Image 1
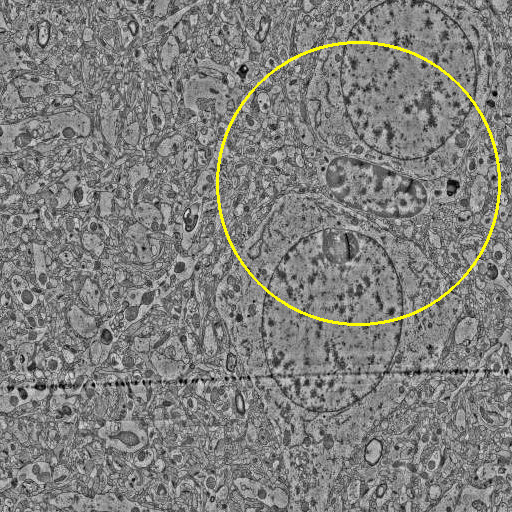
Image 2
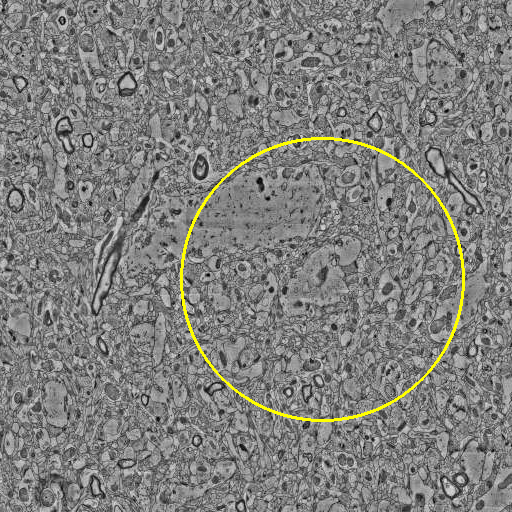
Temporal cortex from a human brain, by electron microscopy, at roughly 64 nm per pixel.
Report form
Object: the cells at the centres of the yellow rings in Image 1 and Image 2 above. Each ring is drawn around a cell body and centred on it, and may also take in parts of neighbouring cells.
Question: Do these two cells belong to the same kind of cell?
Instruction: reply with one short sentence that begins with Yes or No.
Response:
Yes, both belong to the same kind of cell.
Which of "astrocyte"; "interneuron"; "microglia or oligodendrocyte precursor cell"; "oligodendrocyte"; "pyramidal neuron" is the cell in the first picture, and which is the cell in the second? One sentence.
Both the first and the second picture show a microglial cell or oligodendrocyte precursor cell in the ring.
